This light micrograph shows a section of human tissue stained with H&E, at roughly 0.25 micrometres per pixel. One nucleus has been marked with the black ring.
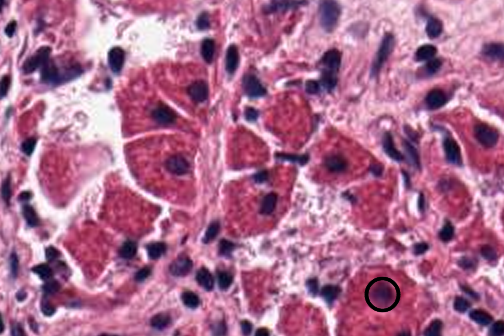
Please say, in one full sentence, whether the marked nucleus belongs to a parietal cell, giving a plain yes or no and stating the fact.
Yes, here the marked nucleus belongs to a parietal cell.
